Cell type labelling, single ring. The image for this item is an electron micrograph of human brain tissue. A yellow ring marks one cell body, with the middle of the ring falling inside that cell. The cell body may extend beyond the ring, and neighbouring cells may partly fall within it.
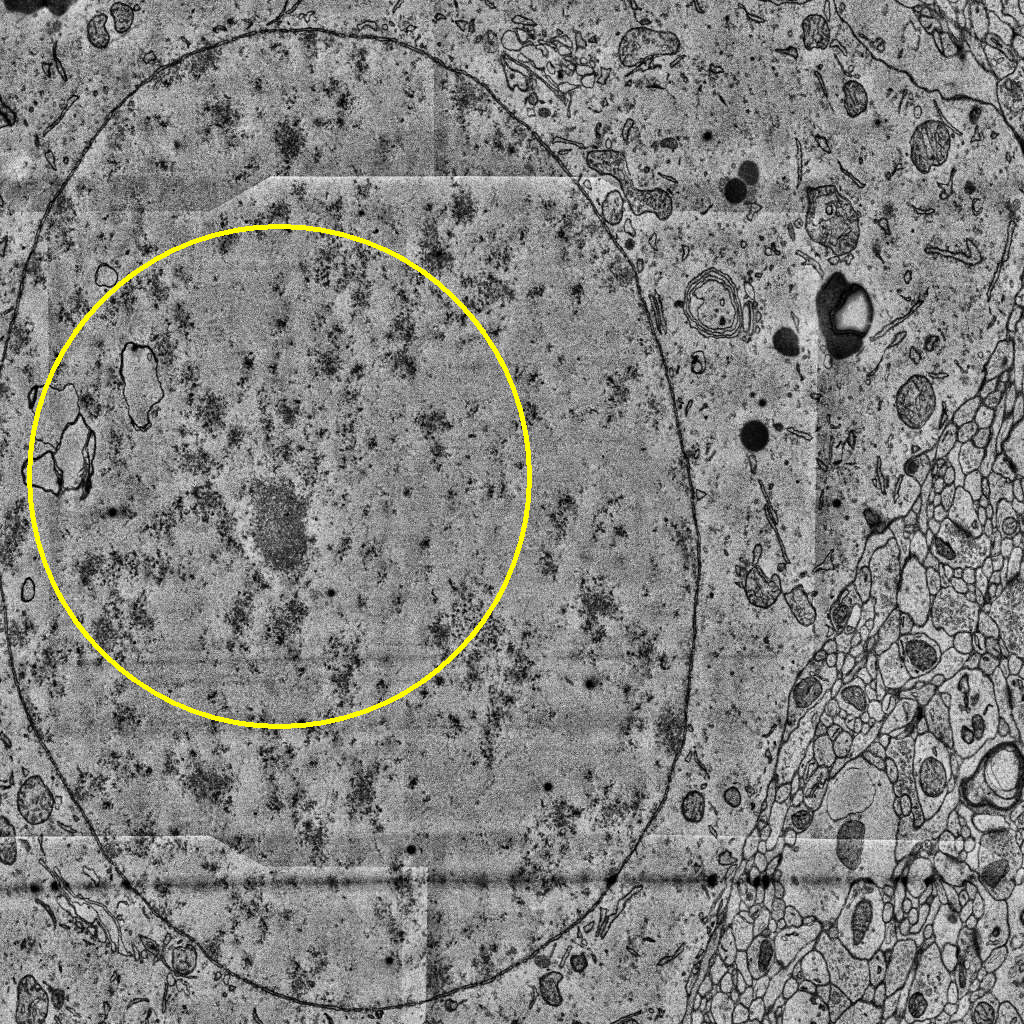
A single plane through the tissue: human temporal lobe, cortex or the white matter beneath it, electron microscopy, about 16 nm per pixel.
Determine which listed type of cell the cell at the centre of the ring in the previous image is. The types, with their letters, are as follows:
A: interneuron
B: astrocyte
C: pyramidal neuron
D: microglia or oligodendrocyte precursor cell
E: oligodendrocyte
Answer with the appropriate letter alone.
C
